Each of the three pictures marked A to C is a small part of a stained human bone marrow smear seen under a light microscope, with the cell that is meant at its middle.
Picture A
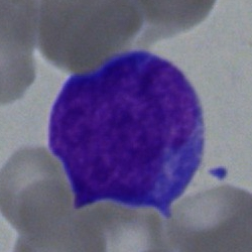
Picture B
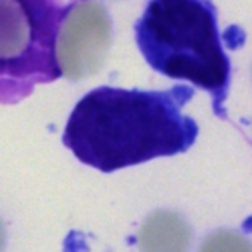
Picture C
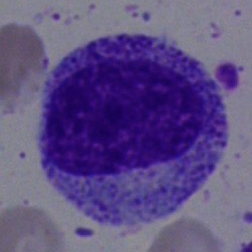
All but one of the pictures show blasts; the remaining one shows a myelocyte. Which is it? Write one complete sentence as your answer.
Picture C is the one that shows the myelocyte.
